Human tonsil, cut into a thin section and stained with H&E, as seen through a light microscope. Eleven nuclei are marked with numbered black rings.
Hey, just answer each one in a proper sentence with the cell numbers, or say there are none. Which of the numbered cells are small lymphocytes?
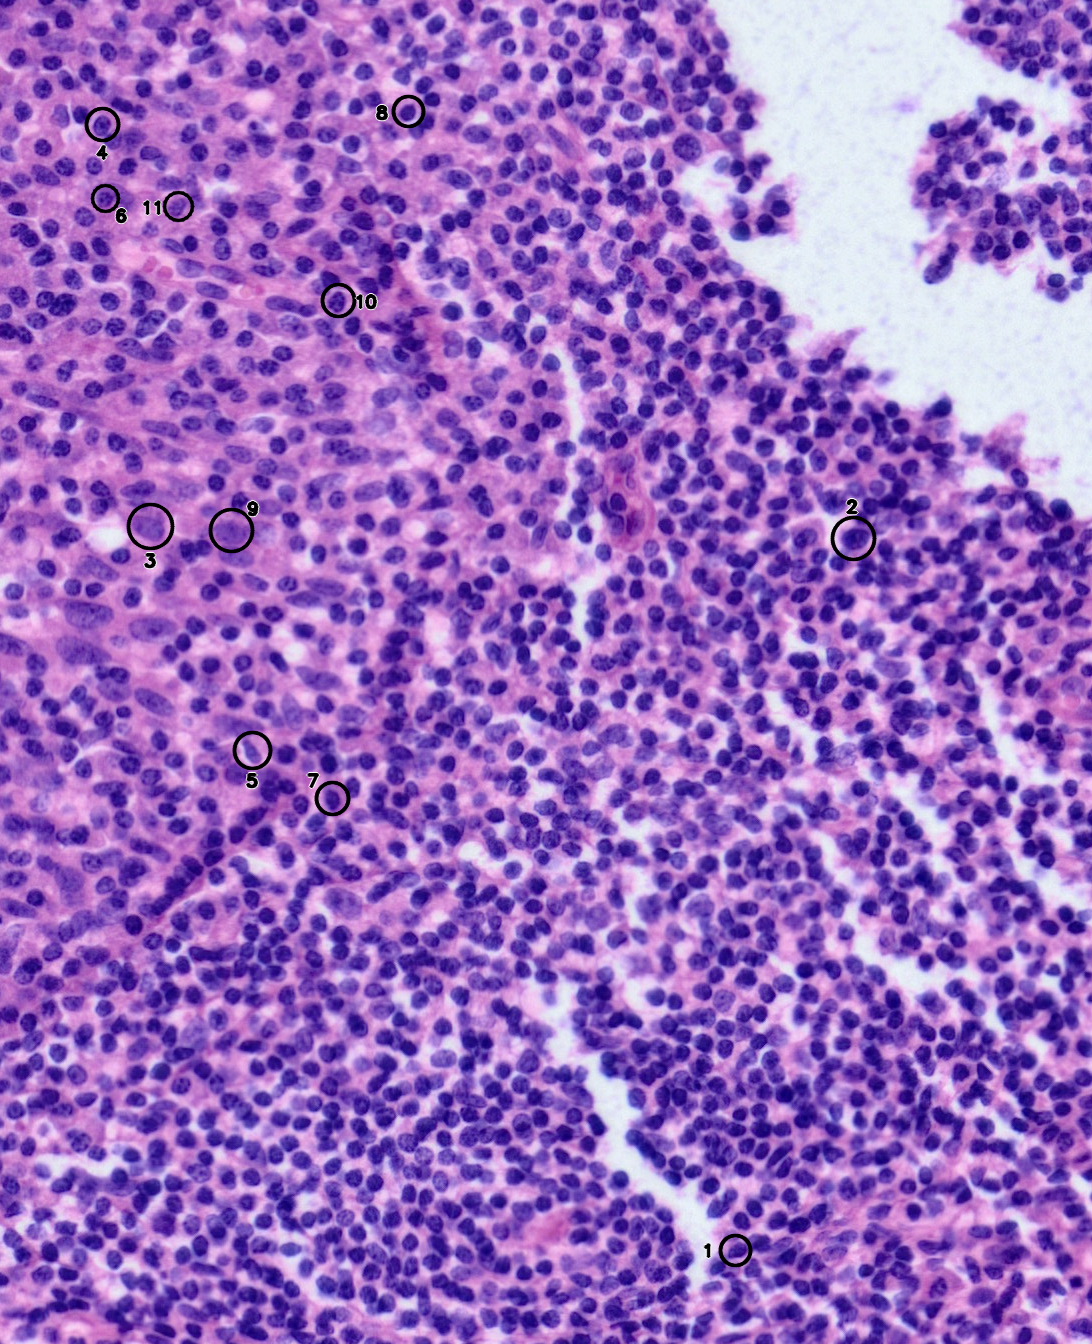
Cell 1 is a small lymphocyte; every other numbered cell is something else.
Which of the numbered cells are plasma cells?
As for the cells numbered 4, 6, 7, 8, 10 and 11, they are plasma cells.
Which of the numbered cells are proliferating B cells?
Only one of the numbered nuclei, number 2, belongs to a proliferating B cell.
